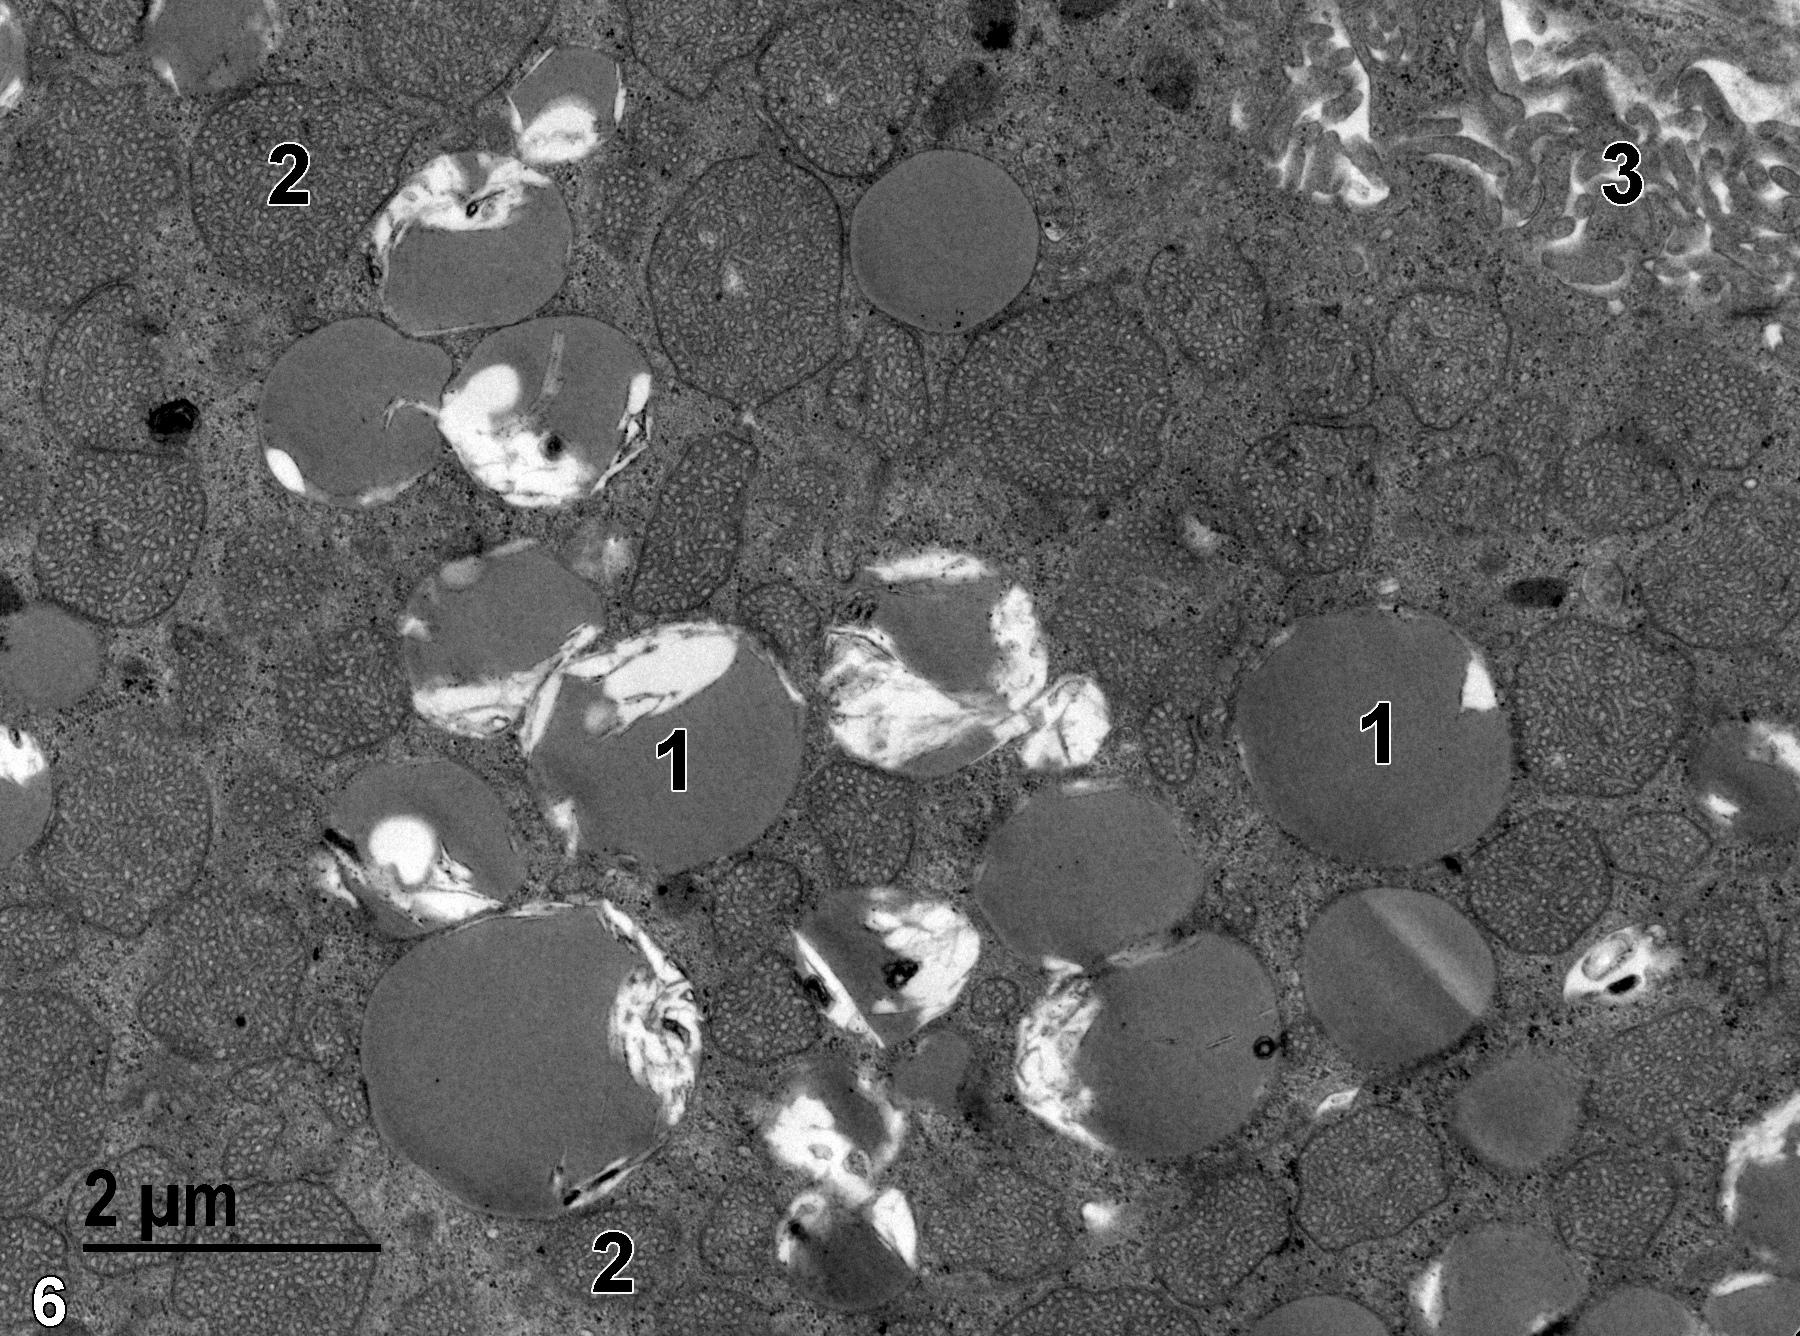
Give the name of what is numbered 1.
The number 1 marks the lipid droplets.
